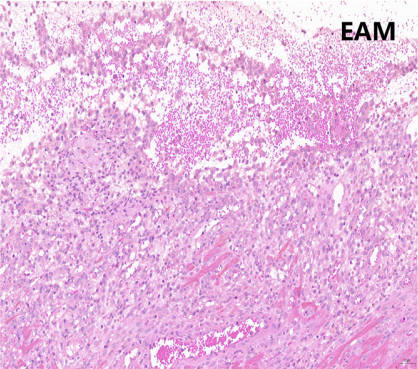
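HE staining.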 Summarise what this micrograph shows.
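Myocardial tissue in which the heart muscle is largely replaced by a dense infiltrate of inflammatory cells, small cells with round purple nuclei packed in sheets. Only scattered, thin pink fragments of muscle fibres remain among them, and pools of red blood cells lie along the upper edge and in a vessel below.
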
